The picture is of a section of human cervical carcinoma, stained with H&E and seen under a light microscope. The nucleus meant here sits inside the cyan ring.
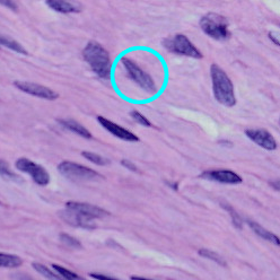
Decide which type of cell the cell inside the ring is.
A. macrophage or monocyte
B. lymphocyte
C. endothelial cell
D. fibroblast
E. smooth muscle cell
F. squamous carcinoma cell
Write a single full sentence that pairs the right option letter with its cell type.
Option D is the right choice, for the cell inside the ring is a fibroblast.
